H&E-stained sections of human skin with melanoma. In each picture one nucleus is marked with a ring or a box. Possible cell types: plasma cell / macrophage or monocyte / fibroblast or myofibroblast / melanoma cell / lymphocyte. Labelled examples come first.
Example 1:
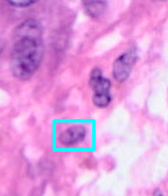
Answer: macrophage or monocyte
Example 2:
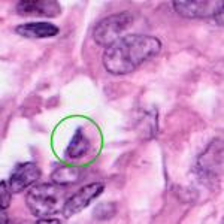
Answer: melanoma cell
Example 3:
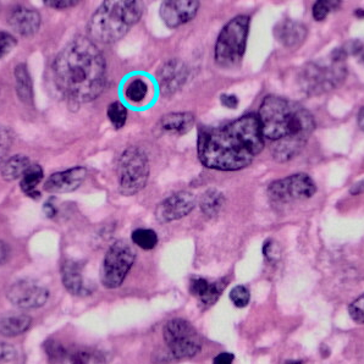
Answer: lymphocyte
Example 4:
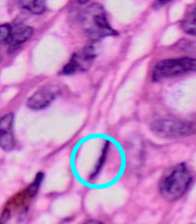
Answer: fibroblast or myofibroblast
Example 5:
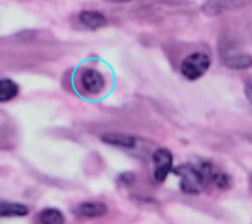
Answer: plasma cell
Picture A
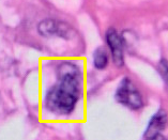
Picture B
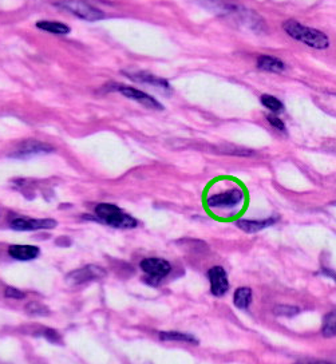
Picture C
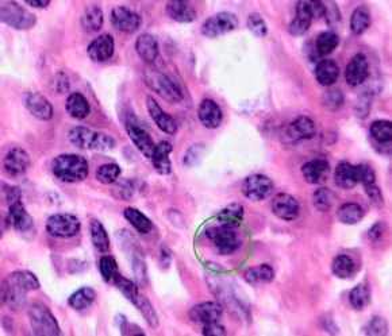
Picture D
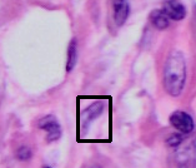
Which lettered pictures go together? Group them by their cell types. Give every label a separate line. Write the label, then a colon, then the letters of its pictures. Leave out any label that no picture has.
plasma cell: C
fibroblast or myofibroblast: D
melanoma cell: A
lymphocyte: B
